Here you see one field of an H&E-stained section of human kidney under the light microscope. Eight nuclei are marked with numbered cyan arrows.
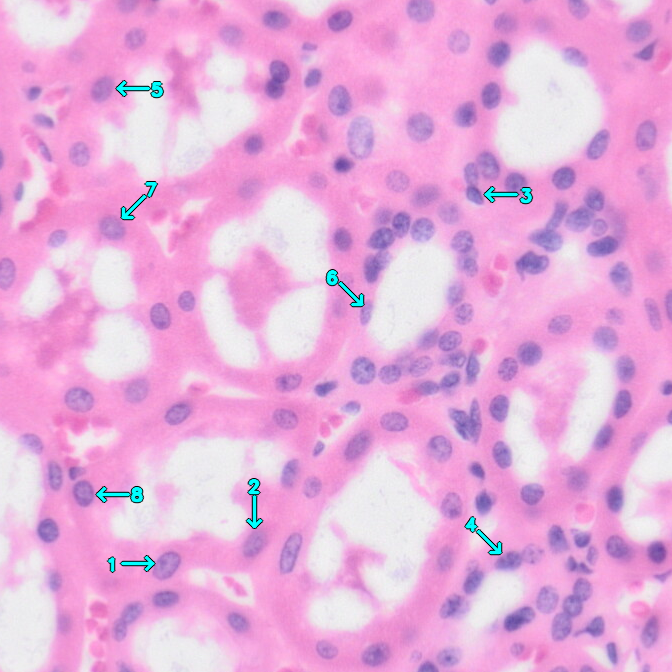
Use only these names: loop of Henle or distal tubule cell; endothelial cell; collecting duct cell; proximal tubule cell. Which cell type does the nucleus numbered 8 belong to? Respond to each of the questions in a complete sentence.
The cell referred to as 8 is a proximal tubule cell.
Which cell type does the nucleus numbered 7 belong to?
Marked with the number 7, this cell is a proximal tubule cell.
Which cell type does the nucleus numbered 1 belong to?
The cell assigned the number 1 is a proximal tubule cell.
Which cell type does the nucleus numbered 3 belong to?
In the tissue shown, cell 3 is an endothelial cell.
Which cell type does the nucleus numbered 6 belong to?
Classified as a collecting duct cell is the cell with the number 6.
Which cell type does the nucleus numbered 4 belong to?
The marked cell with the number 4 is recognised as a collecting duct cell.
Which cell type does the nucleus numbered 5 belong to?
The cell tagged with 5 in this tissue section is a proximal tubule cell.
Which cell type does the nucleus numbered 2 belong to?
The mark numbered 2 indicates the nucleus of a proximal tubule cell.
